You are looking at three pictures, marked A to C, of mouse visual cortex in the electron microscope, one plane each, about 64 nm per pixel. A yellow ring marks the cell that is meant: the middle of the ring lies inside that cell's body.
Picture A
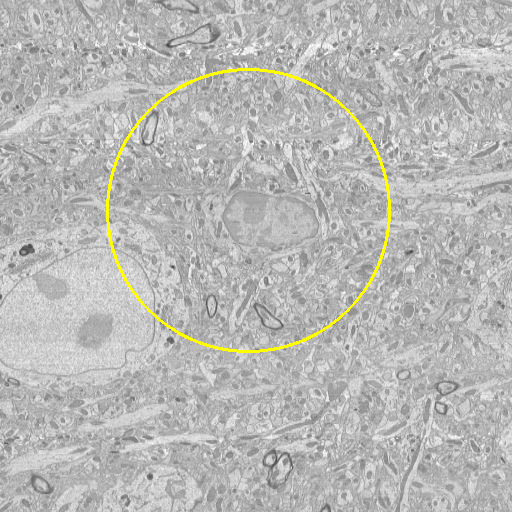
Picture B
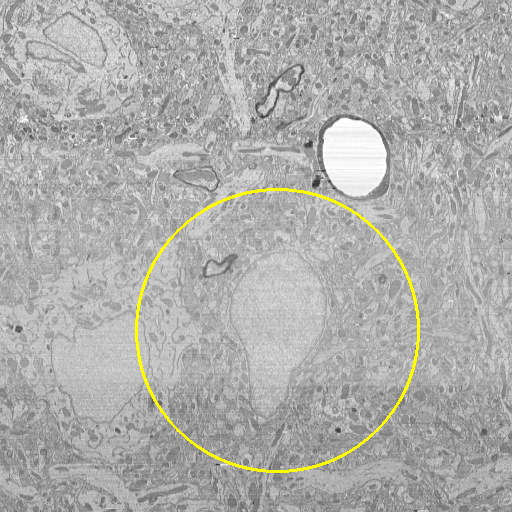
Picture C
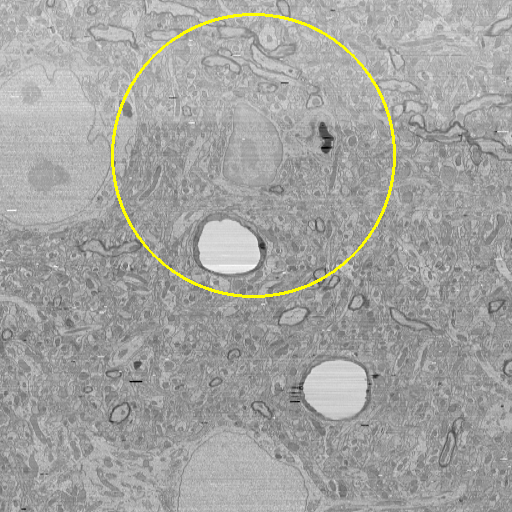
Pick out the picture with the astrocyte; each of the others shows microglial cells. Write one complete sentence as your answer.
The astrocyte is the one in picture B.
